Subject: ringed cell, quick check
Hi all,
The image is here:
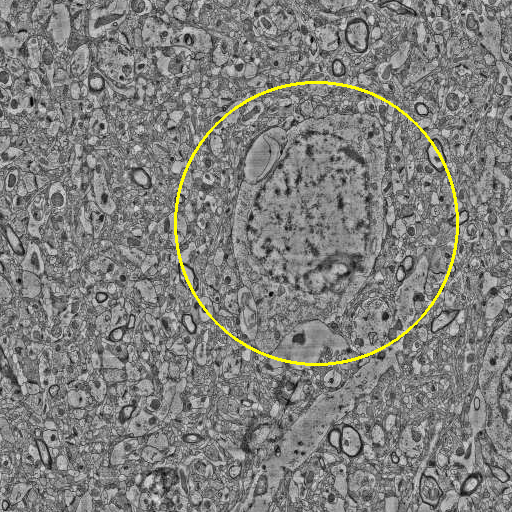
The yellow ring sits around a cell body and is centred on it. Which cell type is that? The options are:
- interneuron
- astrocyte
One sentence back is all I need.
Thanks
That ringed cell is an interneuron.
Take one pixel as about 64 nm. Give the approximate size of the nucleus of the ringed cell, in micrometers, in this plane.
In this plane, the nucleus is roughly 10 by 8 micrometres.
